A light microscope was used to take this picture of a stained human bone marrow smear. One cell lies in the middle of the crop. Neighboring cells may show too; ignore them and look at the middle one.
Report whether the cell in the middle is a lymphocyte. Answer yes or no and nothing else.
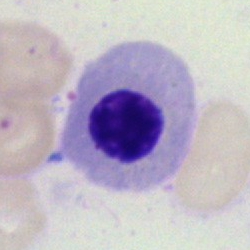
no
